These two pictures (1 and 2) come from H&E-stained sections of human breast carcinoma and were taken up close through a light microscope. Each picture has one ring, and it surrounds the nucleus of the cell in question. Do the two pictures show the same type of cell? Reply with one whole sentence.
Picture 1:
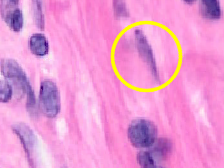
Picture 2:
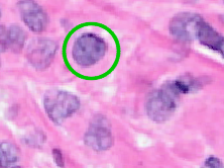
No, picture 1 shows a fibroblast and picture 2 shows a carcinoma cell.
